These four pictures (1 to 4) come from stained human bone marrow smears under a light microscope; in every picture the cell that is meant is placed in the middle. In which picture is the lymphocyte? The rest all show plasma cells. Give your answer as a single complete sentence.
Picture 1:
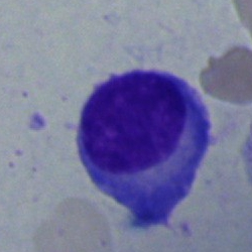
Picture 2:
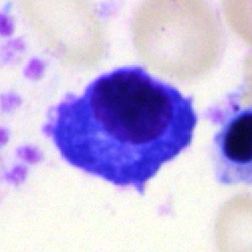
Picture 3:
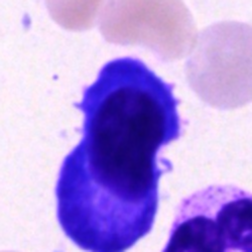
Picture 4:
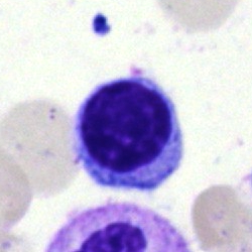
It is picture 4 that shows the lymphocyte.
